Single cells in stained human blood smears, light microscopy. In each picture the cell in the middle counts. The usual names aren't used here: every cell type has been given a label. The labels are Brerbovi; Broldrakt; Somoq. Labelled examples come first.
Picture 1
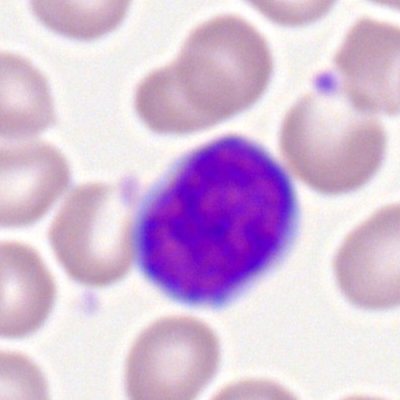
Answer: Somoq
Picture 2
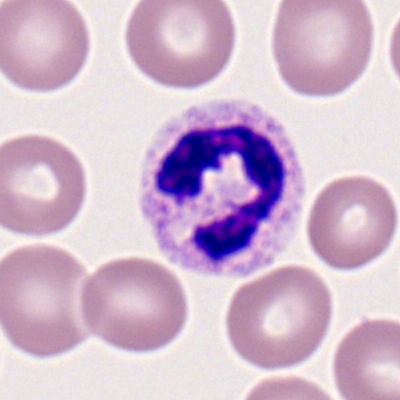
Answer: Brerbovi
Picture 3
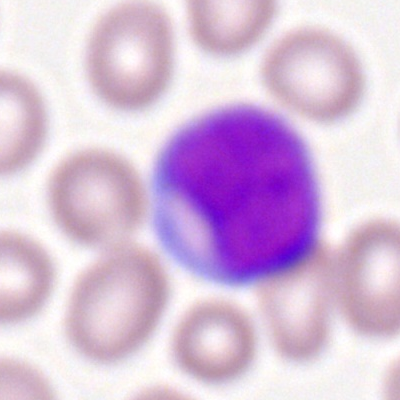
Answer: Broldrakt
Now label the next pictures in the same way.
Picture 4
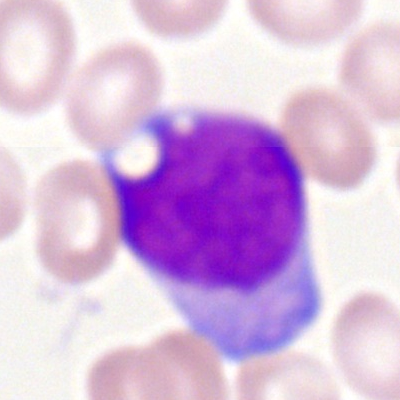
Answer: Broldrakt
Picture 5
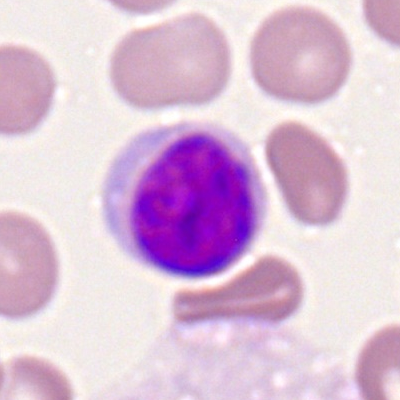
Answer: Somoq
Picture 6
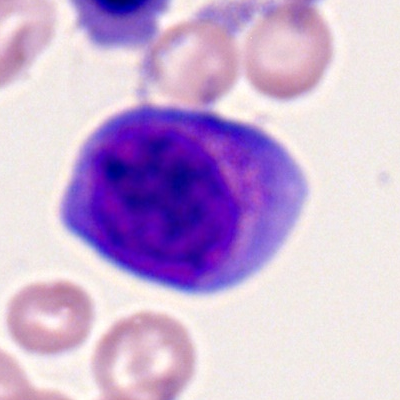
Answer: Broldrakt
